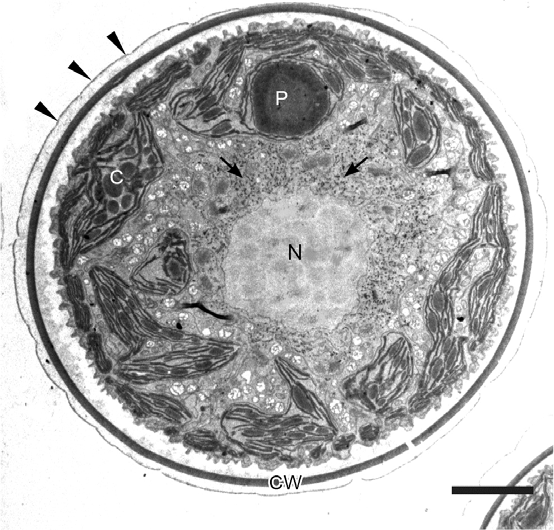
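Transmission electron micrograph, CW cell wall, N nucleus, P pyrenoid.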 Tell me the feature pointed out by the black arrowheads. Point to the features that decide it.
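A thin, pale, loosely applied layer lies outside the dark cell wall. The arrowheads point at this outermost layer around the cell. On this evidence: extracellular matrix.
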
